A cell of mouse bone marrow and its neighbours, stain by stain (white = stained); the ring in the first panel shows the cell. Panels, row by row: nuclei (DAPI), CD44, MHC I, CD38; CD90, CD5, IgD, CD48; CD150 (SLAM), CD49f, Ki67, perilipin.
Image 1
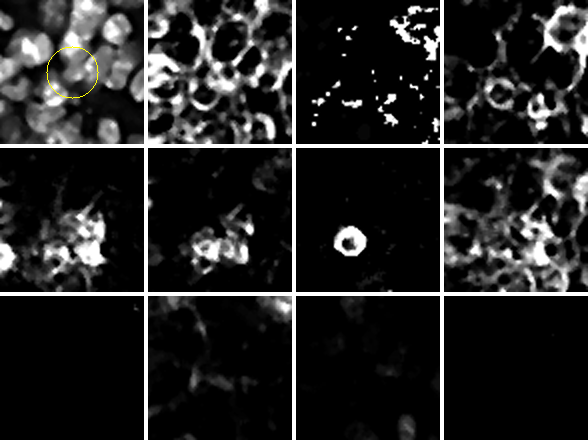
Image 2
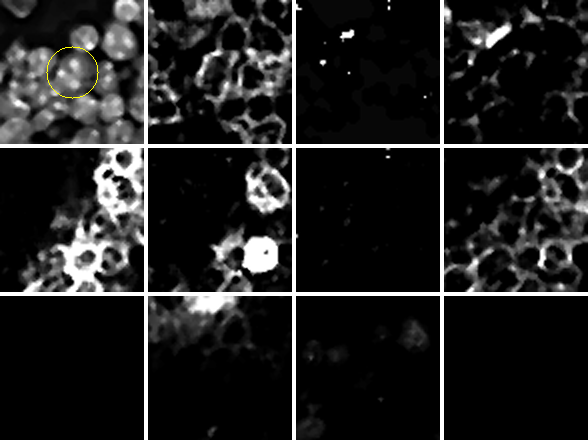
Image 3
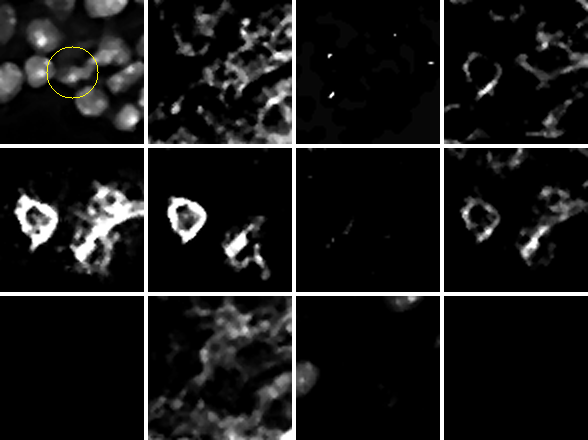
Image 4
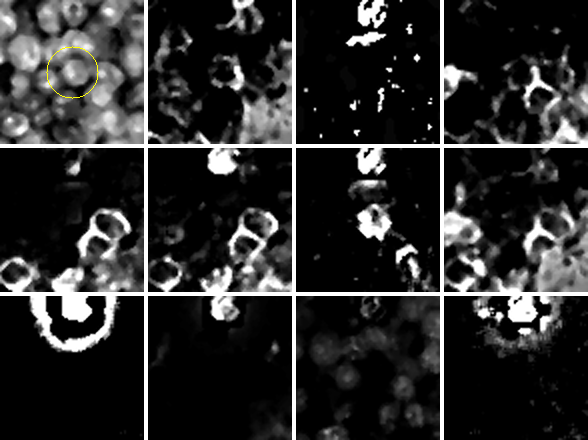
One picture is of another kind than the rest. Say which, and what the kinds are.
Picture 4 shows a B cell; the rest show neutrophils.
